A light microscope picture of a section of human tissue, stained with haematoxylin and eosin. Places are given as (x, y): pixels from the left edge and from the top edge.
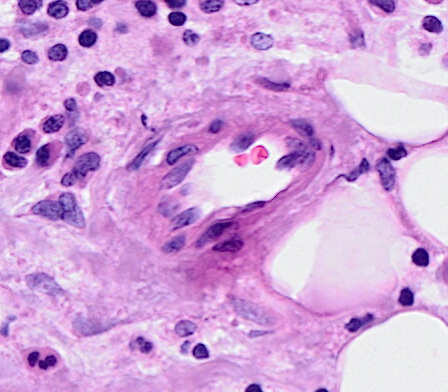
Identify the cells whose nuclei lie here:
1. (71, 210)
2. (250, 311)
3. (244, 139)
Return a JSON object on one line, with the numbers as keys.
{"1": "fibroblast", "2": "fibroblast", "3": "endothelial cell"}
